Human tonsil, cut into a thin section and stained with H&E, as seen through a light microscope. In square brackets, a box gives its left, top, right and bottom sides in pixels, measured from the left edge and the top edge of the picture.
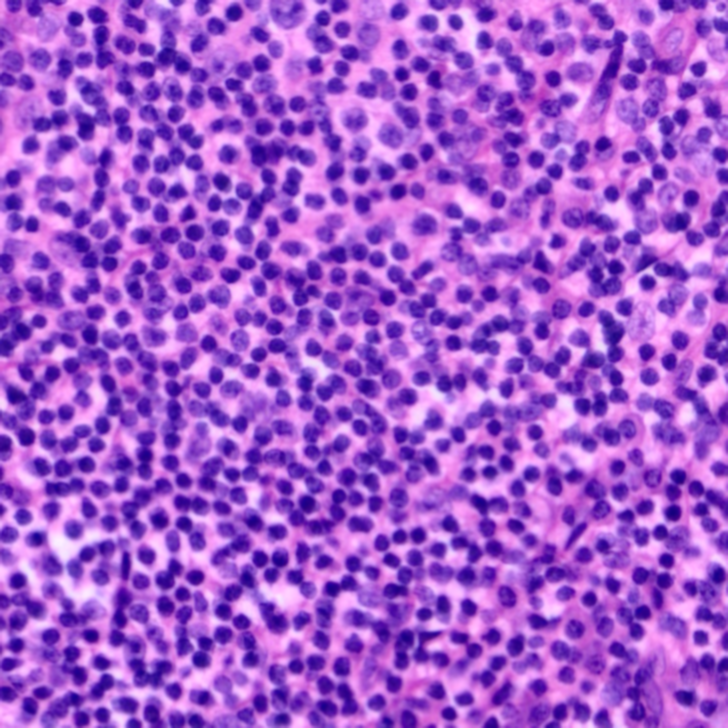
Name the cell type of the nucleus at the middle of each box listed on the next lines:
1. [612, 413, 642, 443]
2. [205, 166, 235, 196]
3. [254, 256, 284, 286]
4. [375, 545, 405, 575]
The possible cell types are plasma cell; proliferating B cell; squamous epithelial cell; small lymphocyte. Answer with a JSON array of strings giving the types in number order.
["plasma cell", "small lymphocyte", "small lymphocyte", "small lymphocyte"]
